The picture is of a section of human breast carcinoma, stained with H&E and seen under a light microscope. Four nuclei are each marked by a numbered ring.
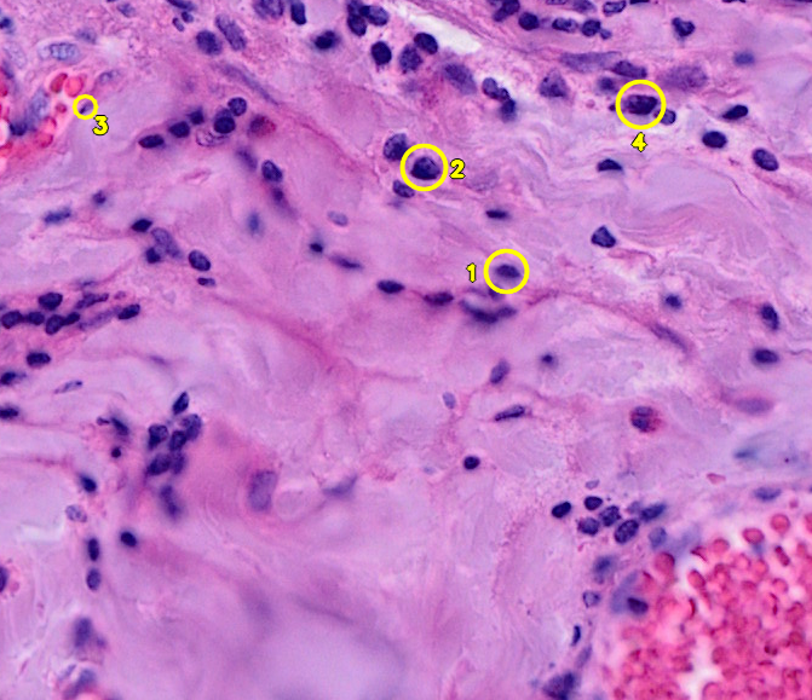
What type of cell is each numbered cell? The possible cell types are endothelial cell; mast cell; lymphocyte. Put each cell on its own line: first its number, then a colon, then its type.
1: lymphocyte
2: lymphocyte
3: endothelial cell
4: lymphocyte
